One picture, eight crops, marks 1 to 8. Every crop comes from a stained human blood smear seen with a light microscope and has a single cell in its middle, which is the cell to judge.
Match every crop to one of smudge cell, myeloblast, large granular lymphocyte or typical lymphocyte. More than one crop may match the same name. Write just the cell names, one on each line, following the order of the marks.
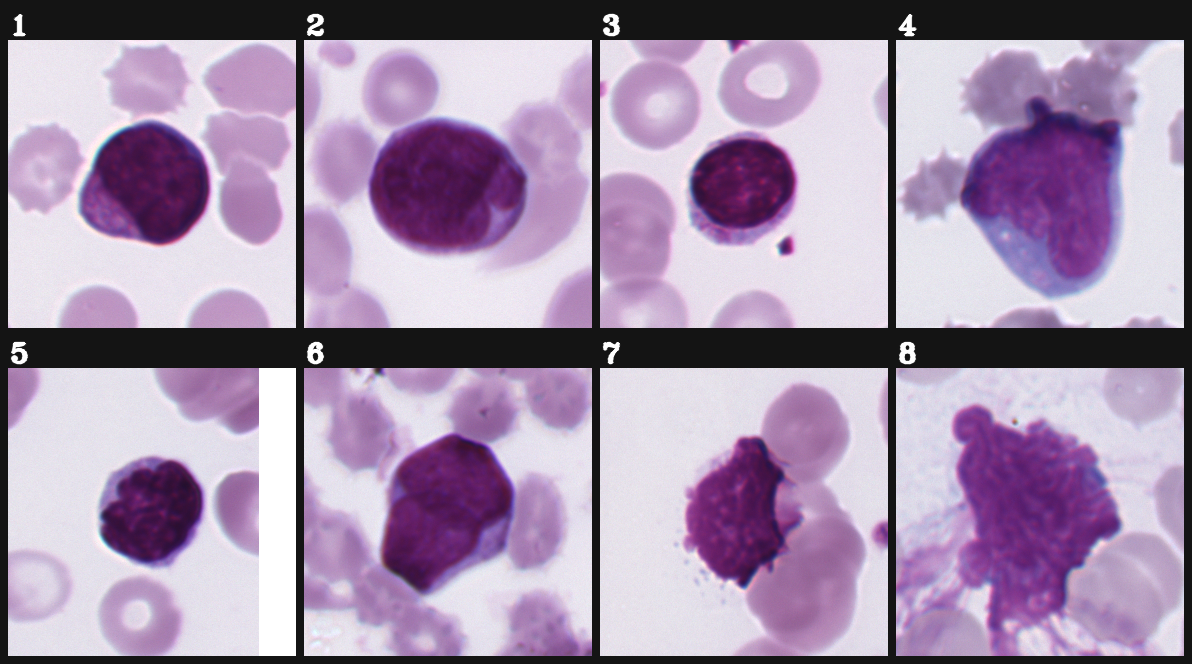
myeloblast
myeloblast
large granular lymphocyte
myeloblast
typical lymphocyte
myeloblast
smudge cell
smudge cell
